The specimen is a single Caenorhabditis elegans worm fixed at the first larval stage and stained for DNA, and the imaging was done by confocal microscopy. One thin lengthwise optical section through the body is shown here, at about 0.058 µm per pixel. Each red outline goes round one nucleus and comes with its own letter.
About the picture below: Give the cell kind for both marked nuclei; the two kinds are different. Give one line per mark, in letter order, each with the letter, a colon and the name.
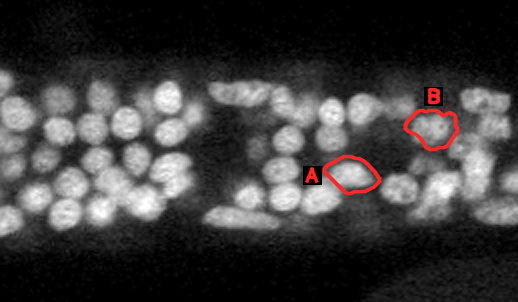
A: neuron
B: pharyngeal muscle cell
